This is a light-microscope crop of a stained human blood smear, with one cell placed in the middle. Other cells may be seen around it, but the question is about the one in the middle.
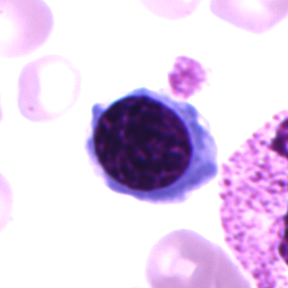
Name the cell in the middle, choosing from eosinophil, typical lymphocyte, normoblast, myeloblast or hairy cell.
normoblast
